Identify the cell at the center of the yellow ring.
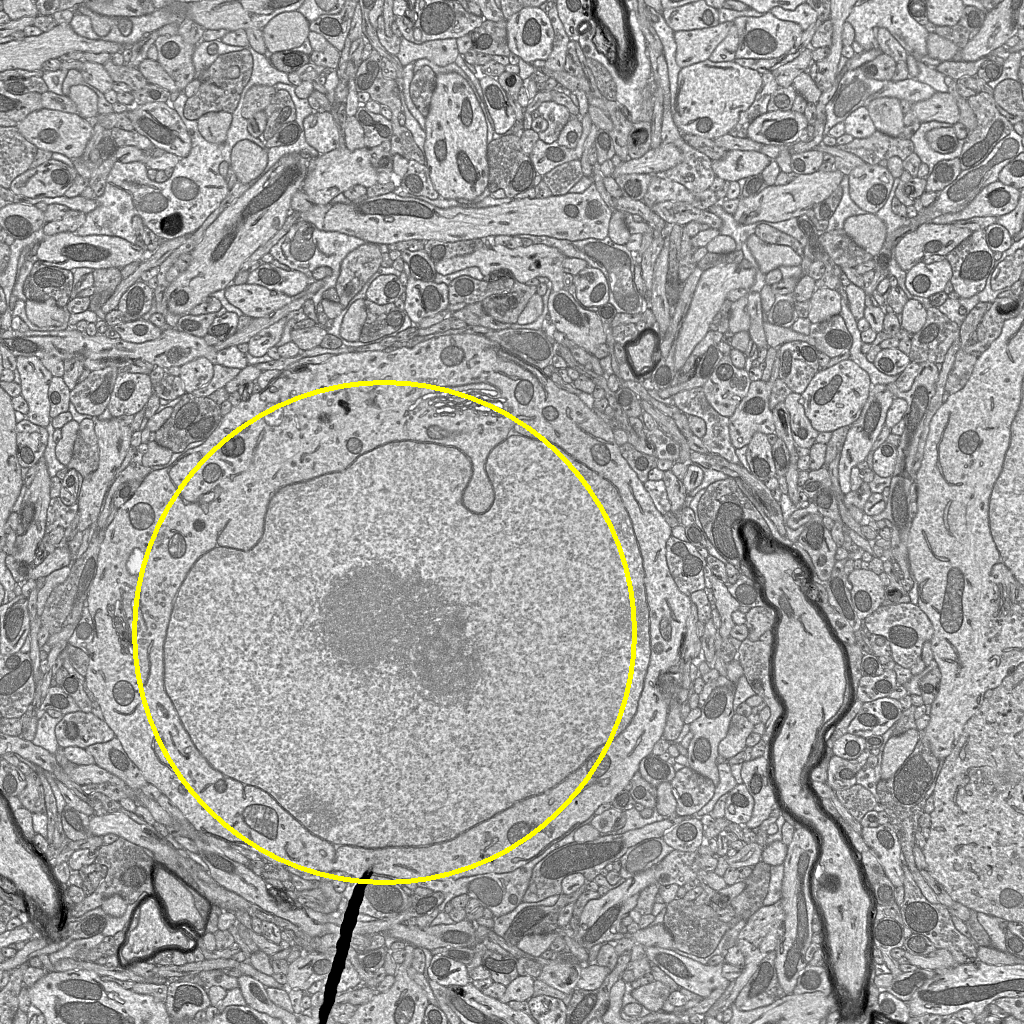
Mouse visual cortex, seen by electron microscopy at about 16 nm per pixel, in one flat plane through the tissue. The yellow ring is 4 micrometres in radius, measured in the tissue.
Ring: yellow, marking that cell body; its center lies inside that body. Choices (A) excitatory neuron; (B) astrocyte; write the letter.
A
